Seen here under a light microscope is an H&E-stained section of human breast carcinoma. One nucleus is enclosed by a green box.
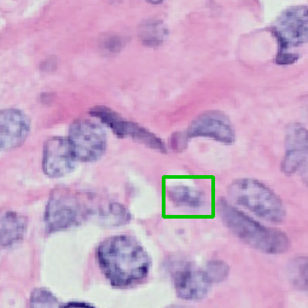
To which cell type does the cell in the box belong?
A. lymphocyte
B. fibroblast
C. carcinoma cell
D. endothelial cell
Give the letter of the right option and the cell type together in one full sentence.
Option D correctly labels the cell in the box as an endothelial cell.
